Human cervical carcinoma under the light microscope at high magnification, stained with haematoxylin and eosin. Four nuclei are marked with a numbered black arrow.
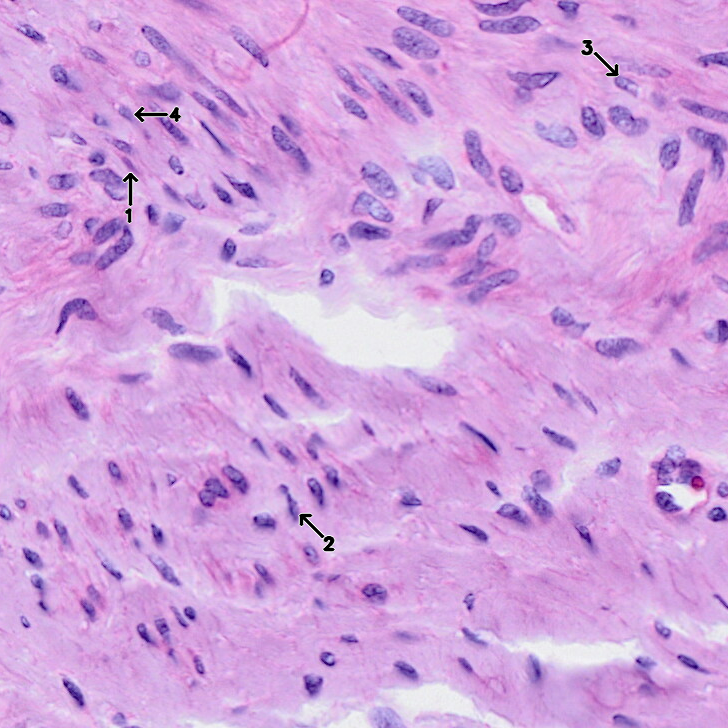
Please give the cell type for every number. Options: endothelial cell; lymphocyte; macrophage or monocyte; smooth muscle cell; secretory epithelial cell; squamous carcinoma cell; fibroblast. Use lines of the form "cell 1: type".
cell 1: smooth muscle cell
cell 2: fibroblast
cell 3: smooth muscle cell
cell 4: smooth muscle cell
